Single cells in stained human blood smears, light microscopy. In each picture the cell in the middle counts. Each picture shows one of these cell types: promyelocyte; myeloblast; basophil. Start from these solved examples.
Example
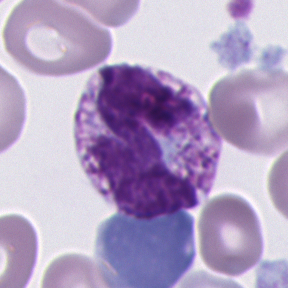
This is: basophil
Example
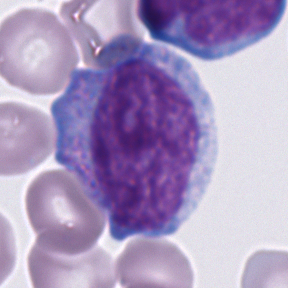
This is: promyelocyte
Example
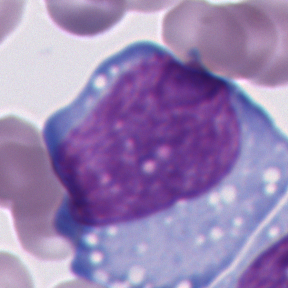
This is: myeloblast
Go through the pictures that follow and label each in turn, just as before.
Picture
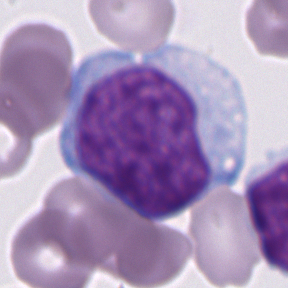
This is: myeloblast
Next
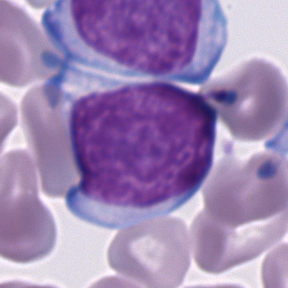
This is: myeloblast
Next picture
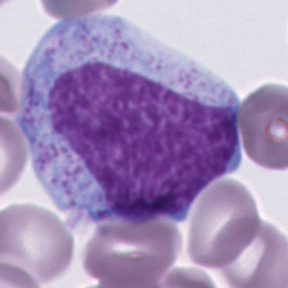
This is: promyelocyte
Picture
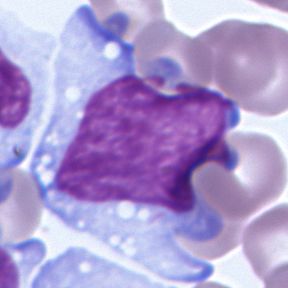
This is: myeloblast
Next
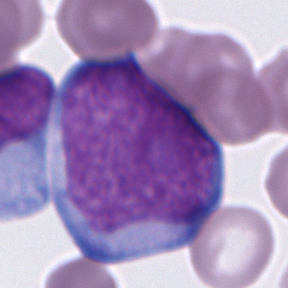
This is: myeloblast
